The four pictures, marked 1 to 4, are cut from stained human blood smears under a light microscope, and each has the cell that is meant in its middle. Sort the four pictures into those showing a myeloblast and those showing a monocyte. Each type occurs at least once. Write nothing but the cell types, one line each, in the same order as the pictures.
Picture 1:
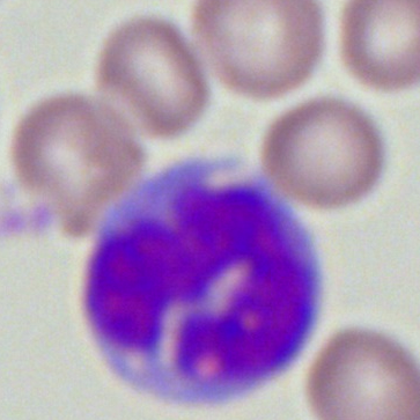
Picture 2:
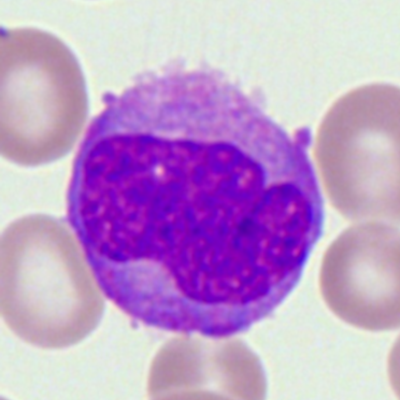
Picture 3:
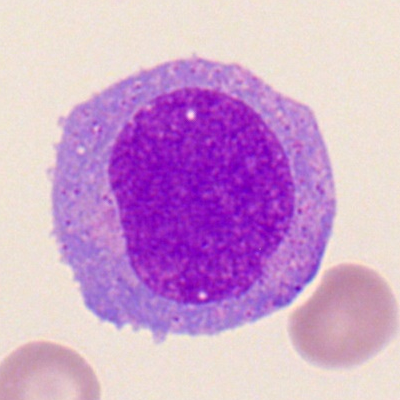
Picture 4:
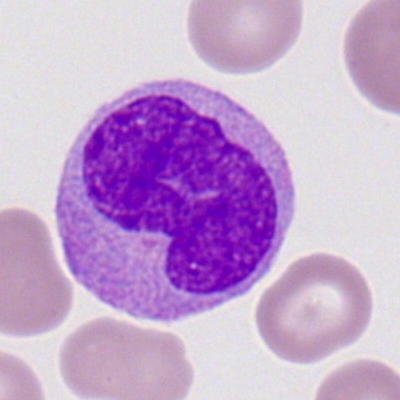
monocyte
monocyte
myeloblast
monocyte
